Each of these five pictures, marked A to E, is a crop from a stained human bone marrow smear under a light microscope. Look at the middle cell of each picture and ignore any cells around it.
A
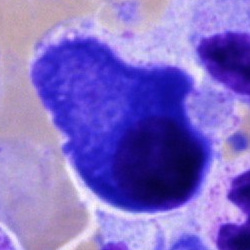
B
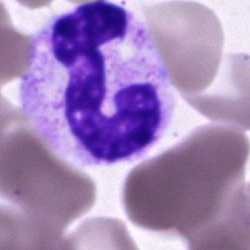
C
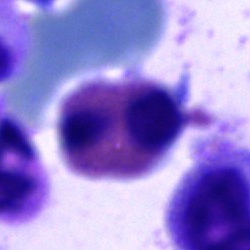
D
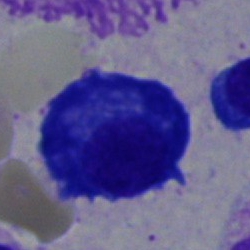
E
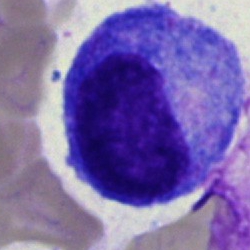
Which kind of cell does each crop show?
A: plasma cell
B: segmented neutrophil
C: eosinophil
D: plasma cell
E: promyelocyte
